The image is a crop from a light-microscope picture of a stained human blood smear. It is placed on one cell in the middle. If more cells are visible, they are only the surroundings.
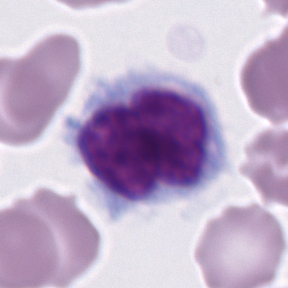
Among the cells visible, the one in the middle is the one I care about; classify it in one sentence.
Regarding the central cell, it is a hairy cell.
